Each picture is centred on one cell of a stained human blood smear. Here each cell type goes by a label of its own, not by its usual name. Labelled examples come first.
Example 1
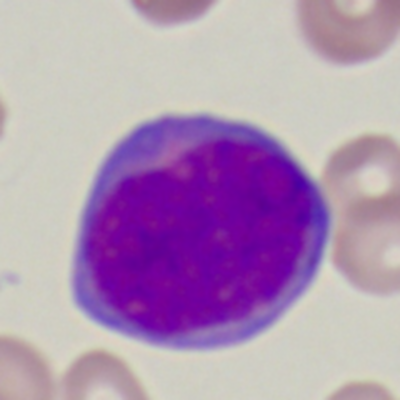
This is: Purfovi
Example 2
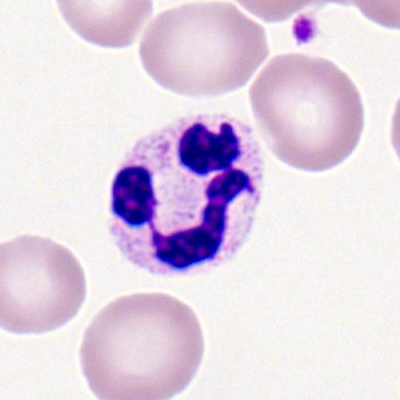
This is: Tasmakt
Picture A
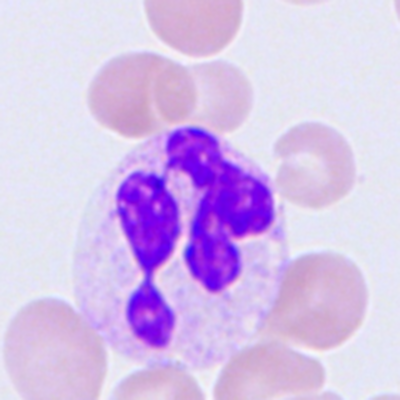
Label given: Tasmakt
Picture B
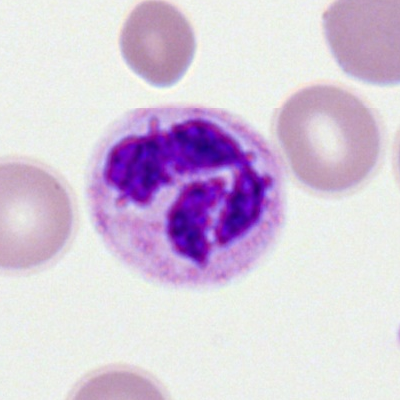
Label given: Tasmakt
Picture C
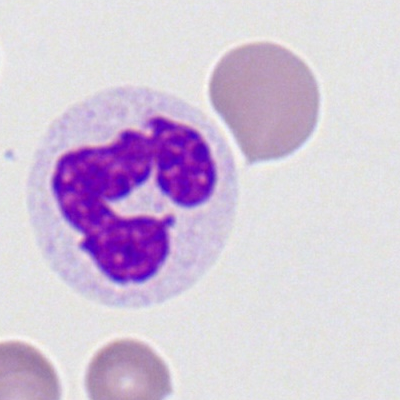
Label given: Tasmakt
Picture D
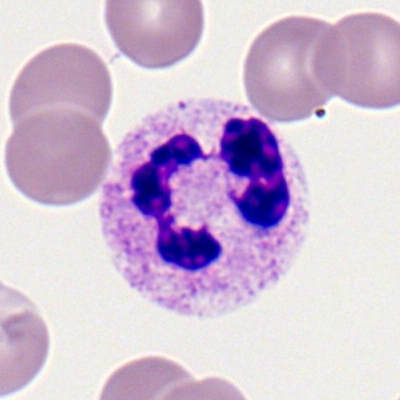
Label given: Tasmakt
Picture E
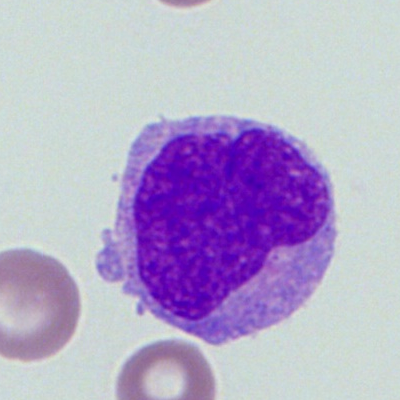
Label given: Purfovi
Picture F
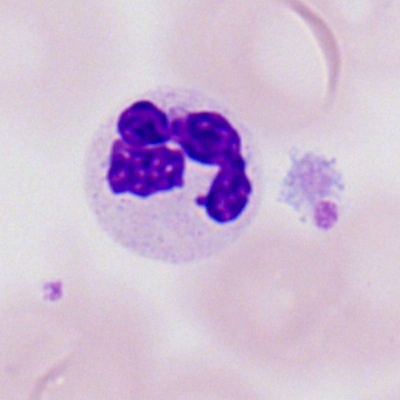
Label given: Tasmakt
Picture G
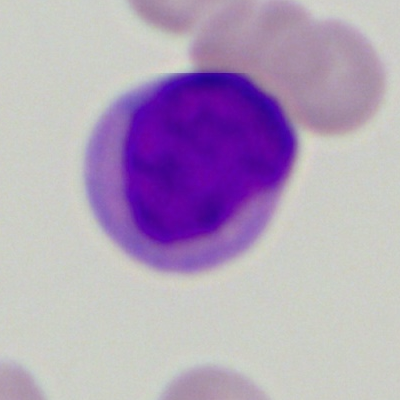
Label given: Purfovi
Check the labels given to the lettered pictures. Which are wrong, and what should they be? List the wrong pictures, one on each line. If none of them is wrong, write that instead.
None of the labels needs changing.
